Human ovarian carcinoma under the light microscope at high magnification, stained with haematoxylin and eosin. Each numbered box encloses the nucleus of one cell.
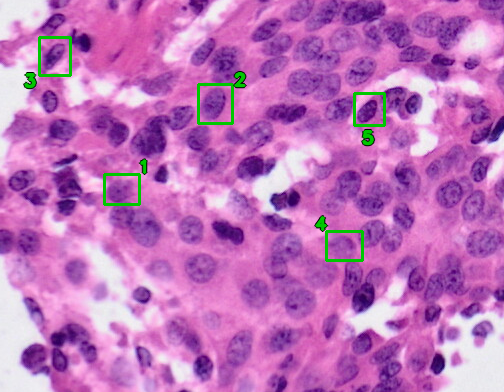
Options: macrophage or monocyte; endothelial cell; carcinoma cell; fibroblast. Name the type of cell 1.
carcinoma cell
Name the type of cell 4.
carcinoma cell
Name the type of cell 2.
carcinoma cell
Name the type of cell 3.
macrophage or monocyte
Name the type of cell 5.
macrophage or monocyte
